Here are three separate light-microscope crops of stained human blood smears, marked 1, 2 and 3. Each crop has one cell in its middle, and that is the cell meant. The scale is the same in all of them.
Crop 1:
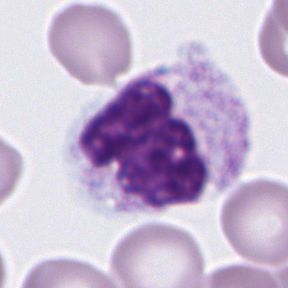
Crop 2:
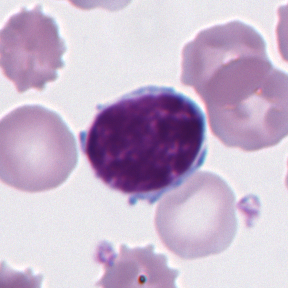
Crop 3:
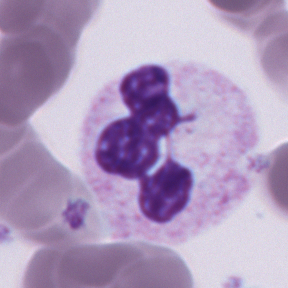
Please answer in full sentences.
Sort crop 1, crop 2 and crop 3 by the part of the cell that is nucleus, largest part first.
From the most filled to the least, the order is 2, 1, 3.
